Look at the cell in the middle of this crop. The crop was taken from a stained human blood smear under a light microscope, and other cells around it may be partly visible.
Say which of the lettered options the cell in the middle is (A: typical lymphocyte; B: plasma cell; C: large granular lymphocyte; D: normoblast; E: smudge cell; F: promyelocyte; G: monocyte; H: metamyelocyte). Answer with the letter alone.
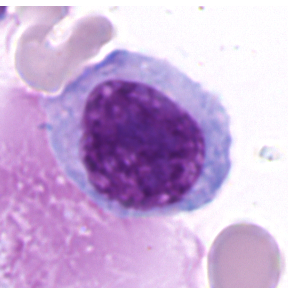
B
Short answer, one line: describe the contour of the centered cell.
The membrane contour is even and smooth, with nothing projecting from it.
